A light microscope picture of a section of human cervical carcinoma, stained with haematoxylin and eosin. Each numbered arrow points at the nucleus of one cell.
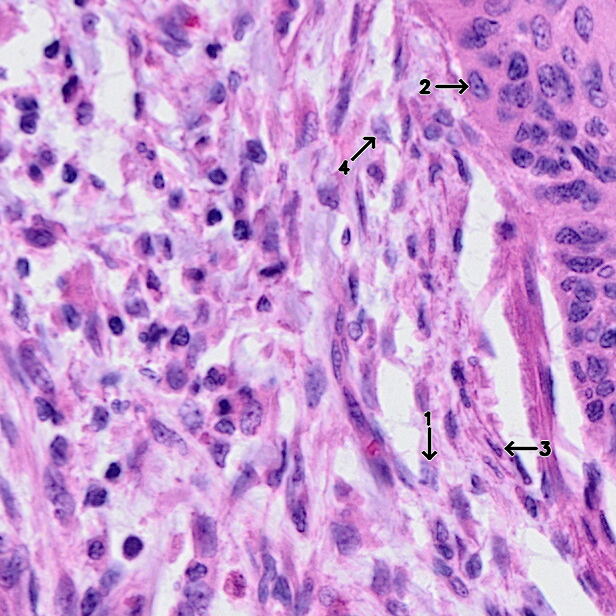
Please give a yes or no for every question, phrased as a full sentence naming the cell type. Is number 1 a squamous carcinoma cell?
No, number 1 corresponds to a fibroblast, not a squamous carcinoma cell.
